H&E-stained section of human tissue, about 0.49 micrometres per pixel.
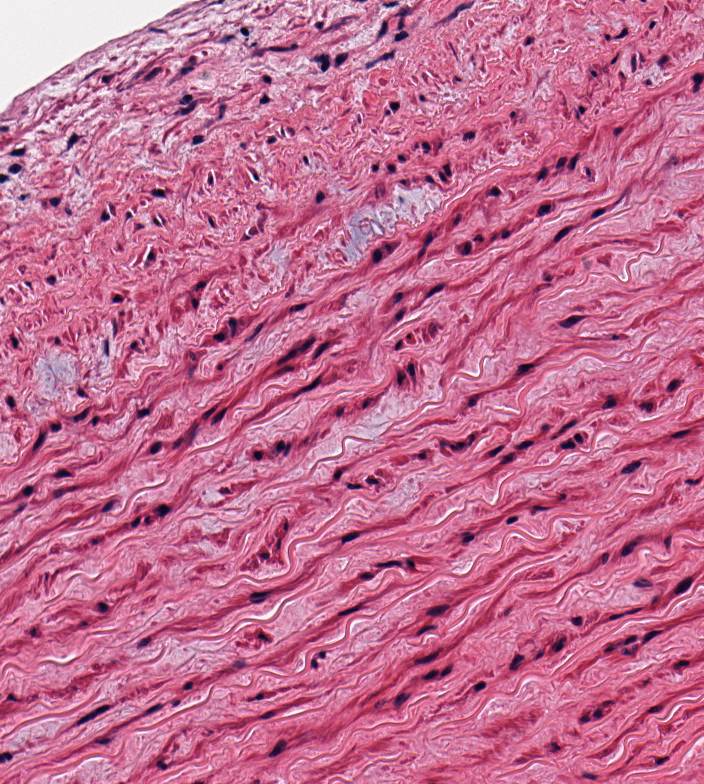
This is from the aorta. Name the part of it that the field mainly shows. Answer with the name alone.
tunica media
